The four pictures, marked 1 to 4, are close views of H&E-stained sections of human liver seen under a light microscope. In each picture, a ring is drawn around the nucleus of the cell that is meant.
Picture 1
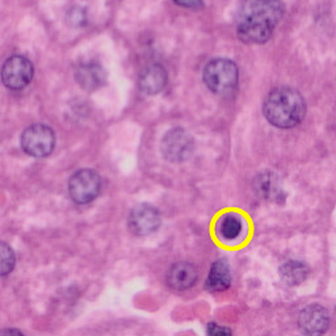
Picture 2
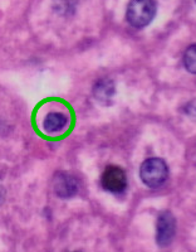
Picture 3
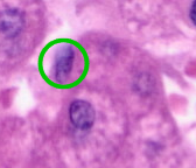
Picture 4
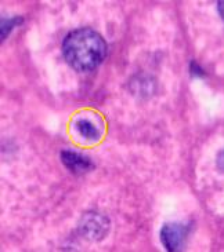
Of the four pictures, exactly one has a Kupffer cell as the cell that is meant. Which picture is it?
3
